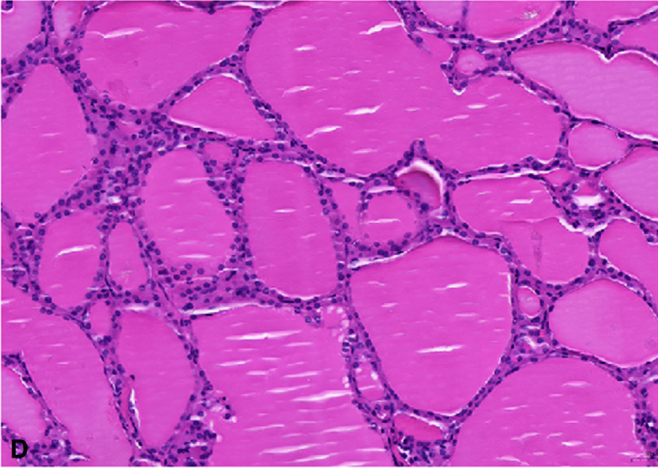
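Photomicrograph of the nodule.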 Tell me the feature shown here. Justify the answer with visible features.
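Thyroid follicles. Many round to polygonal spaces filled with homogeneous pink material. Each space is lined by a single layer of small cells with dark round nuclei. Thin cellular septa separate neighbouring spaces.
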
